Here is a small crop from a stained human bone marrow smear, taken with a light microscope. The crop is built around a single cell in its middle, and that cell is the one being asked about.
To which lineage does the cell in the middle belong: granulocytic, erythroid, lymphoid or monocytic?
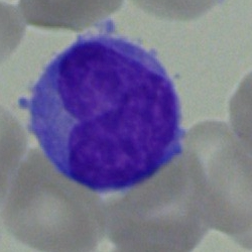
monocytic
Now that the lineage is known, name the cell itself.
monocyte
